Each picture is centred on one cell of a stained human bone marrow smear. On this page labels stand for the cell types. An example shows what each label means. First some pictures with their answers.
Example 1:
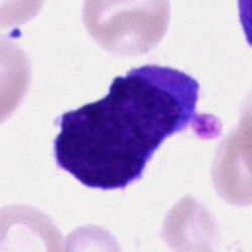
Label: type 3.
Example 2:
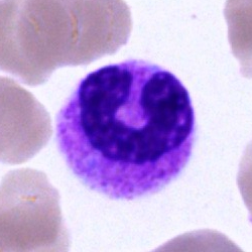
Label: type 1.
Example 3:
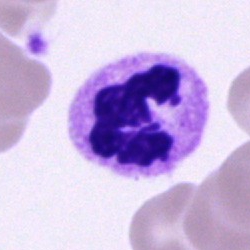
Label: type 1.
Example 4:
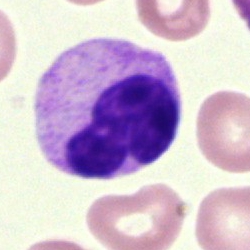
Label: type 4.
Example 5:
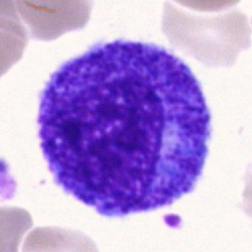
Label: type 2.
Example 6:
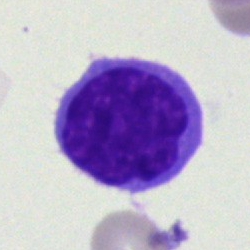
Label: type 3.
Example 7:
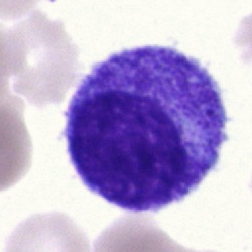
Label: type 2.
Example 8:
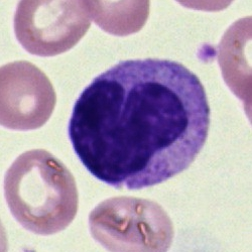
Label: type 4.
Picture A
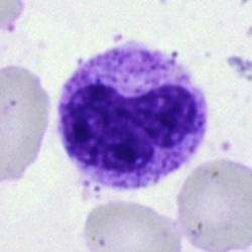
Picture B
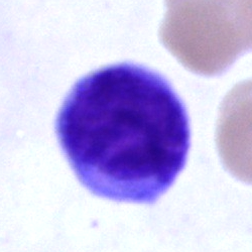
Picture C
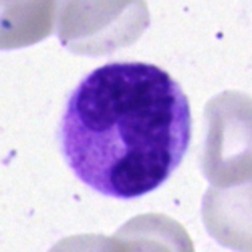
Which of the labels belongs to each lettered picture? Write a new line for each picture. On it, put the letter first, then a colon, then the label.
A: type 4.
B: type 3.
C: type 4.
